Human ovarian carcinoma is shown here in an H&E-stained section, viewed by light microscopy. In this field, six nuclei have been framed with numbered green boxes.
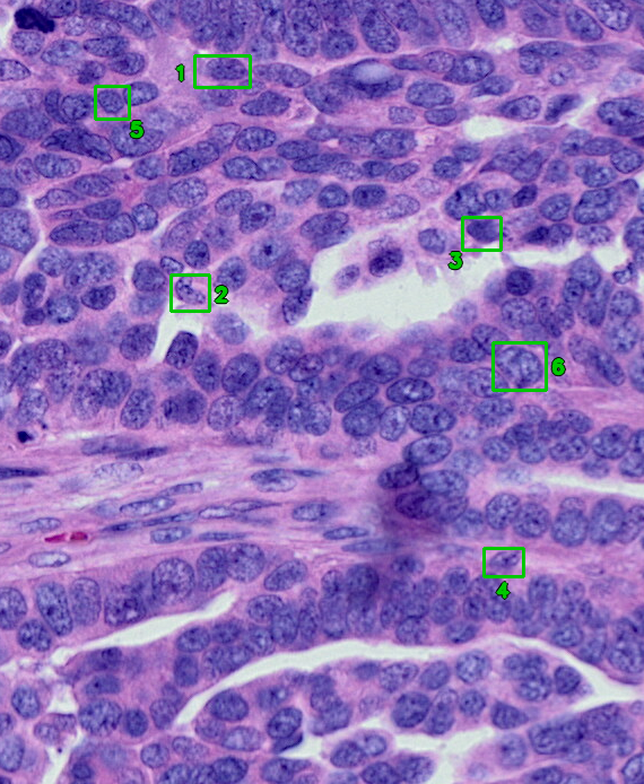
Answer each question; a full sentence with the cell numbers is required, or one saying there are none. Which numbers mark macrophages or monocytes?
The cells referred to by numbers 2 and 4 are macrophages or monocytes.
